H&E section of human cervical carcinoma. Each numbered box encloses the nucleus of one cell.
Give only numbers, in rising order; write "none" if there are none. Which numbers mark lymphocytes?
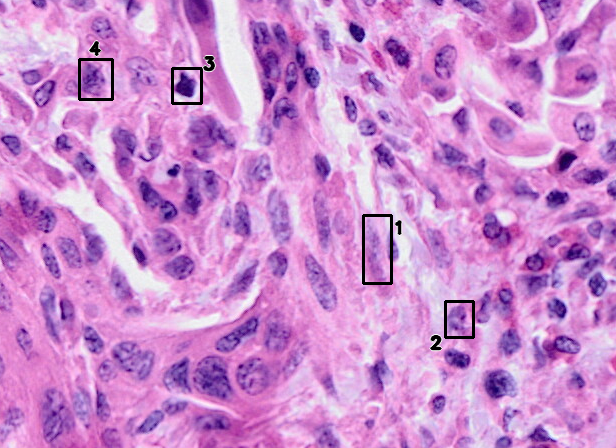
3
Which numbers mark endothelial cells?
none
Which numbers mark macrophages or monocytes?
2, 4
